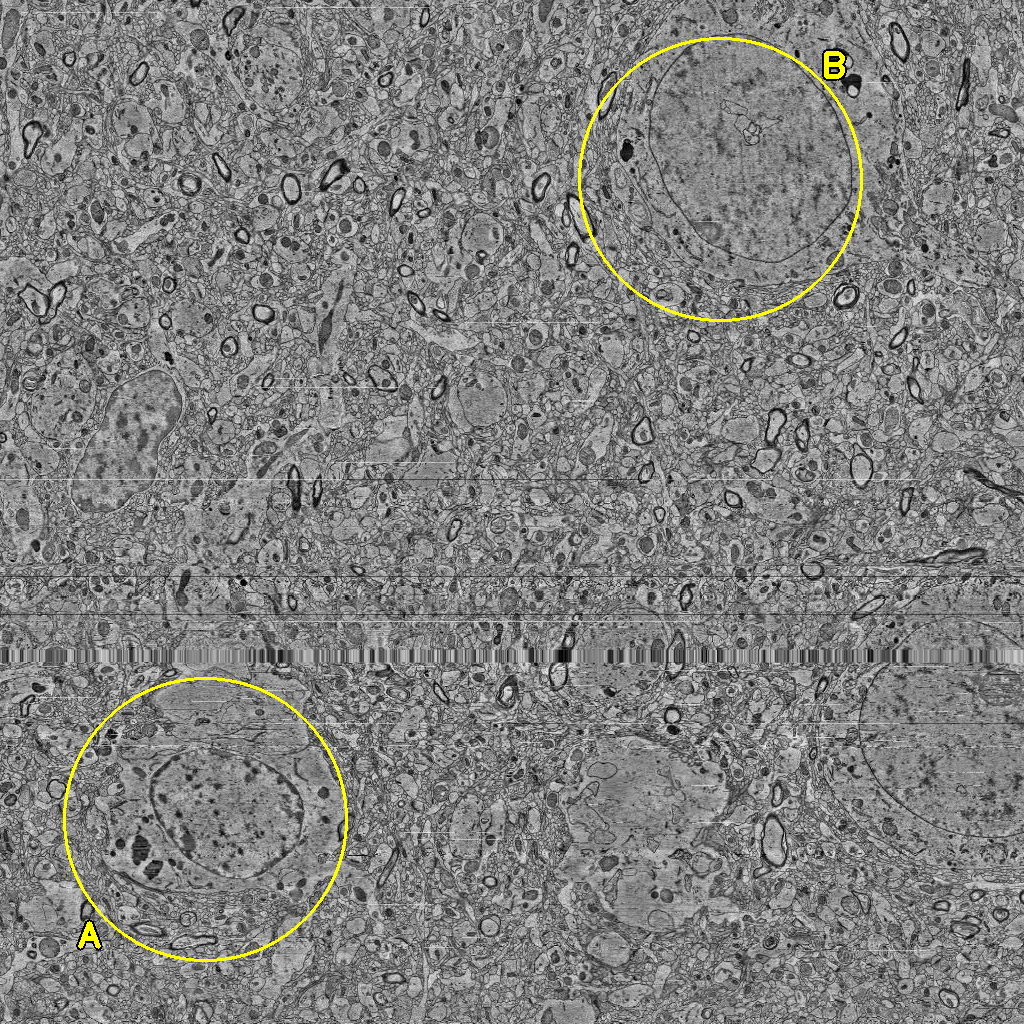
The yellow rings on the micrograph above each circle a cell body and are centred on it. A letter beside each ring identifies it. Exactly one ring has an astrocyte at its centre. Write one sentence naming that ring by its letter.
Ring A is the one.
